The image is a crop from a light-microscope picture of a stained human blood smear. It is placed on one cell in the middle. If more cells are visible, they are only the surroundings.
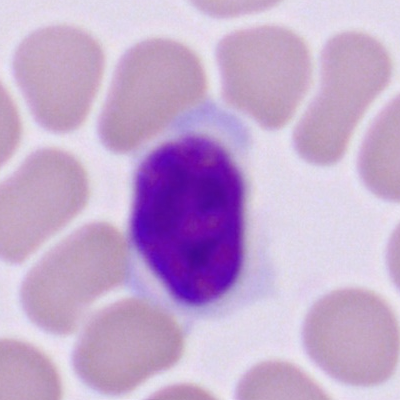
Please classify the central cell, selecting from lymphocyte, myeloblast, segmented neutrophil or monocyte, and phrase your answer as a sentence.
The centrally positioned cell in the crop represents a lymphocyte.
